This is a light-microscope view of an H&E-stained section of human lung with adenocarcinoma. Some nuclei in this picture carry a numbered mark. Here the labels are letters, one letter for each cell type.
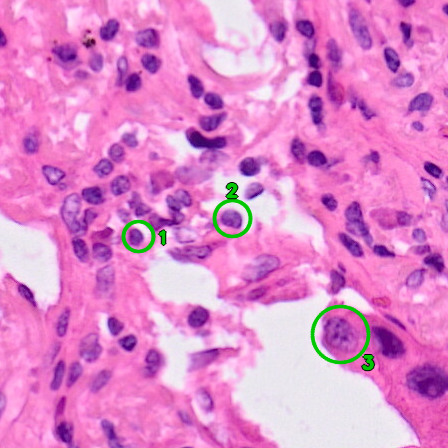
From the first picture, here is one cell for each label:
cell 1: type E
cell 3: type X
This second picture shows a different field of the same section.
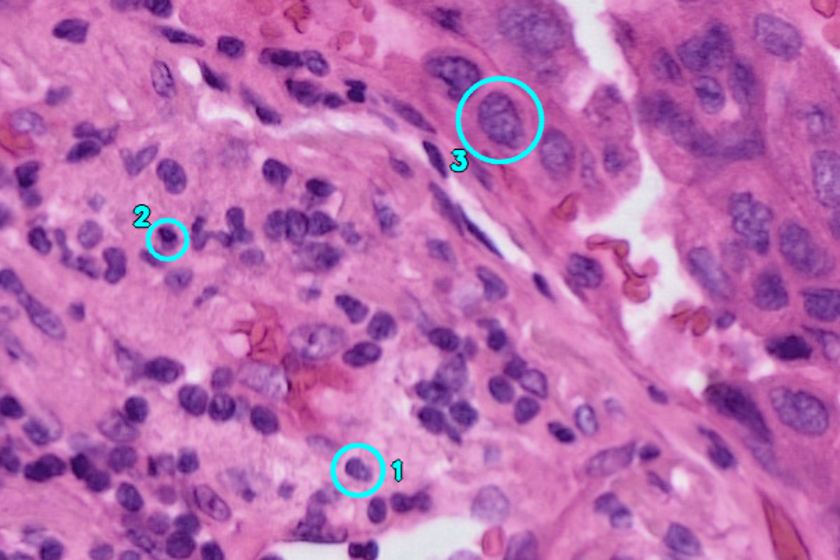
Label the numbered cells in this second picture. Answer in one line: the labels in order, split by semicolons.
type E; type E; type X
